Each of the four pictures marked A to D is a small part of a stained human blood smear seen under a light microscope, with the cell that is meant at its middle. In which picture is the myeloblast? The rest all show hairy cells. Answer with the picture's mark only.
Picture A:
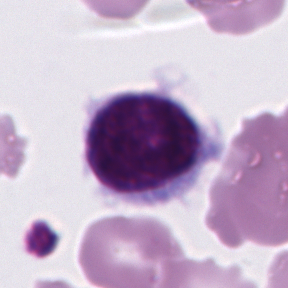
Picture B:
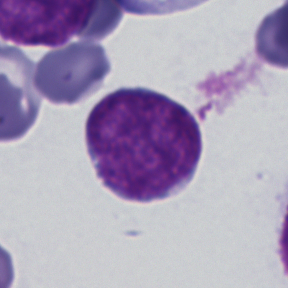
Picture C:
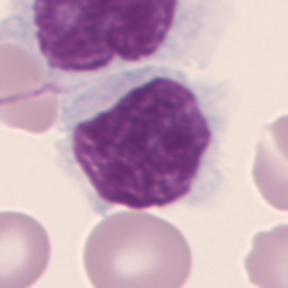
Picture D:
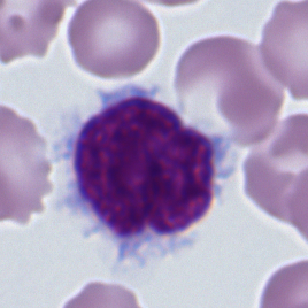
B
